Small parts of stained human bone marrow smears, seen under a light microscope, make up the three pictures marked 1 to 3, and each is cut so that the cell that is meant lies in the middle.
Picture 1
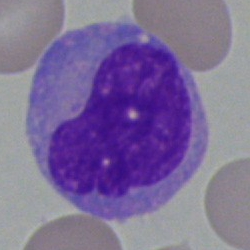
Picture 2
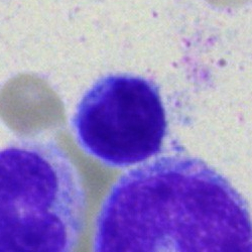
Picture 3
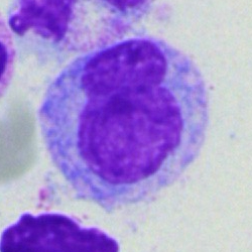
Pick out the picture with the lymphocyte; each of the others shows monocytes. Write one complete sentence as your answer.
The lymphocyte is the one in picture 2.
